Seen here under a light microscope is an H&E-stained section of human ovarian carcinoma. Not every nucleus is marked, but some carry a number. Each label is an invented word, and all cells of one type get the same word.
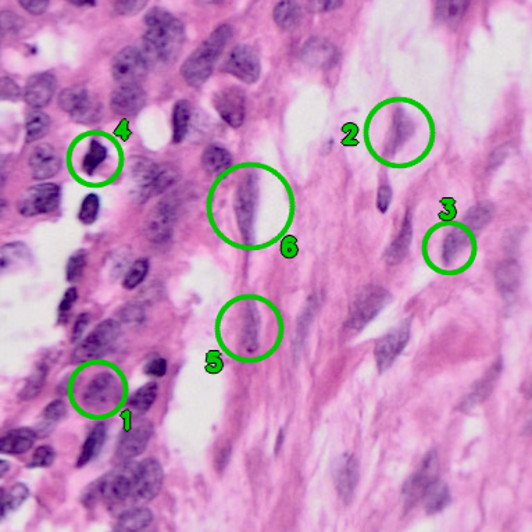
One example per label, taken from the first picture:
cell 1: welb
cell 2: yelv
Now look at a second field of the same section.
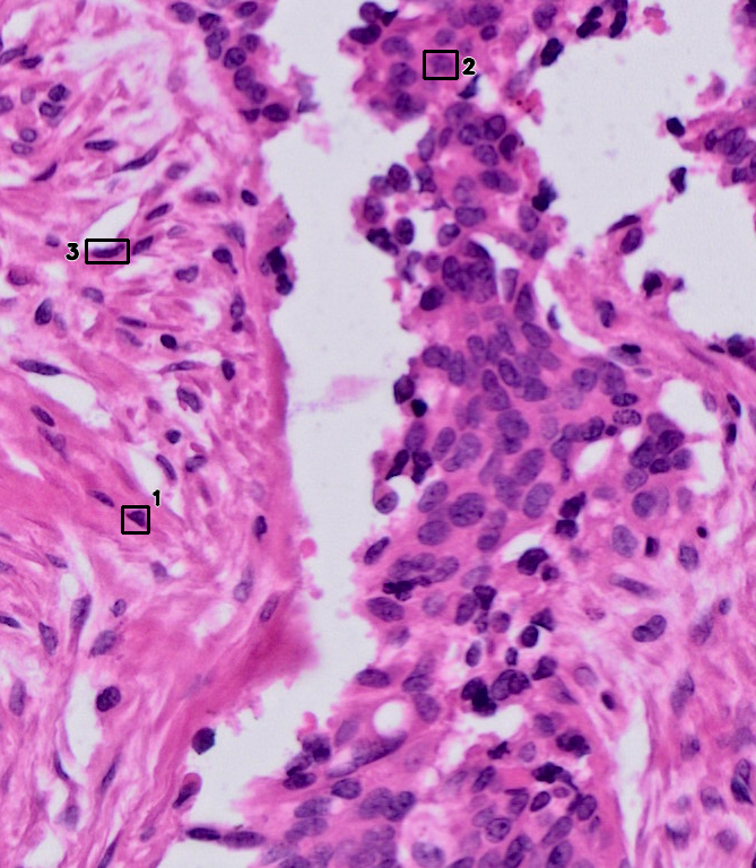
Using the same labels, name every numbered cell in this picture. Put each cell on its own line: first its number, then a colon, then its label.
1: yelv
2: welb
3: yelv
